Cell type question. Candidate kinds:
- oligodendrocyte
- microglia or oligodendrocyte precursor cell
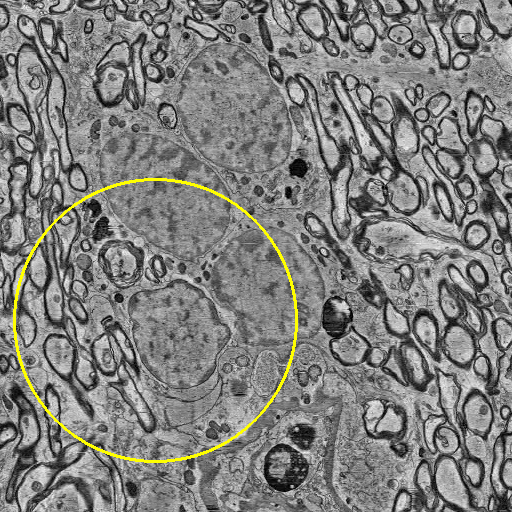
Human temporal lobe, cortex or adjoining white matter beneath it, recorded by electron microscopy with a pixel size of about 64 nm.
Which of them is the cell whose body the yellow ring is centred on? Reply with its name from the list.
microglia or oligodendrocyte precursor cell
